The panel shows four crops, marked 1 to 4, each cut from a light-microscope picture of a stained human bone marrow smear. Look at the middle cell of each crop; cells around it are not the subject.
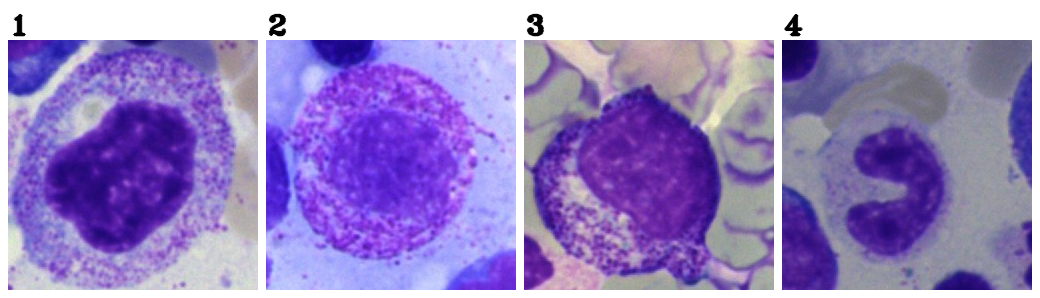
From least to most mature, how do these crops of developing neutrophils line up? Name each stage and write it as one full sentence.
The order of maturity, beginning with the least mature, is crop 3 (a promyelocyte), crop 2 (a myelocyte), crop 1 (a metamyelocyte) and crop 4 (a band neutrophil).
